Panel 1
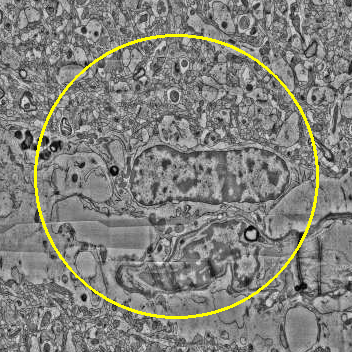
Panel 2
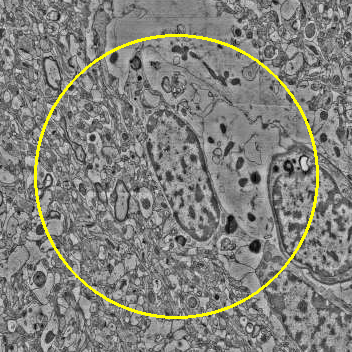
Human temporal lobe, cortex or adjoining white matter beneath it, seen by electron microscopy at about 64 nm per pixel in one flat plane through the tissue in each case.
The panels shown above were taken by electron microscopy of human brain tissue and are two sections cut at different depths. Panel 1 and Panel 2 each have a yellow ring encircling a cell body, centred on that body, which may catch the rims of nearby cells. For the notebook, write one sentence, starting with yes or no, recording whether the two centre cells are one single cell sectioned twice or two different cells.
No, marked by the two rings are two different cells.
